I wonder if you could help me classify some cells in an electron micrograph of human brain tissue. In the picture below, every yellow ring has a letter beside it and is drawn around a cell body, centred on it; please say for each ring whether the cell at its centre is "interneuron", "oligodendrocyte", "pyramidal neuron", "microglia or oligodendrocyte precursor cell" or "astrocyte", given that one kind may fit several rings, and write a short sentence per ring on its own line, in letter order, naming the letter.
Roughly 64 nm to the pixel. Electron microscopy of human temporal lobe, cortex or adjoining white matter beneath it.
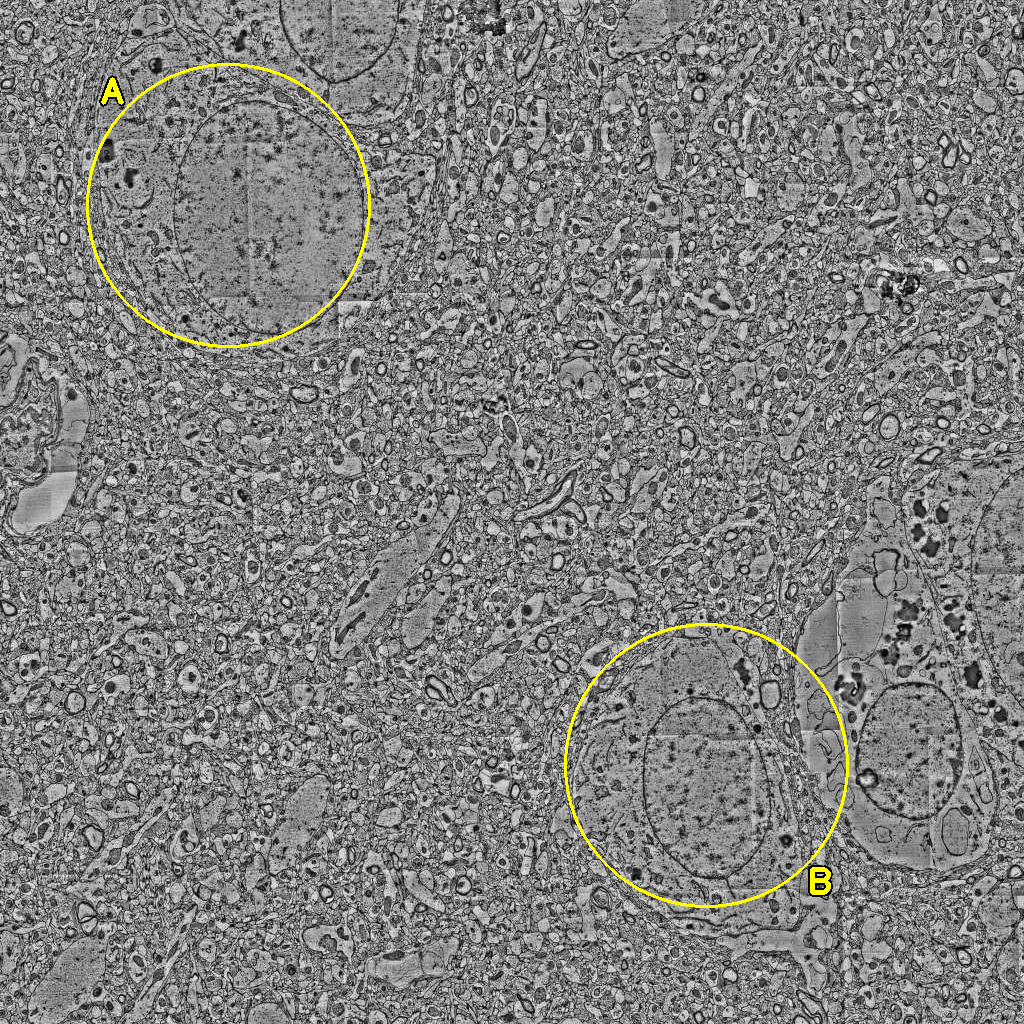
Centred in ring A is a pyramidal neuron.
Centred in ring B is a pyramidal neuron.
